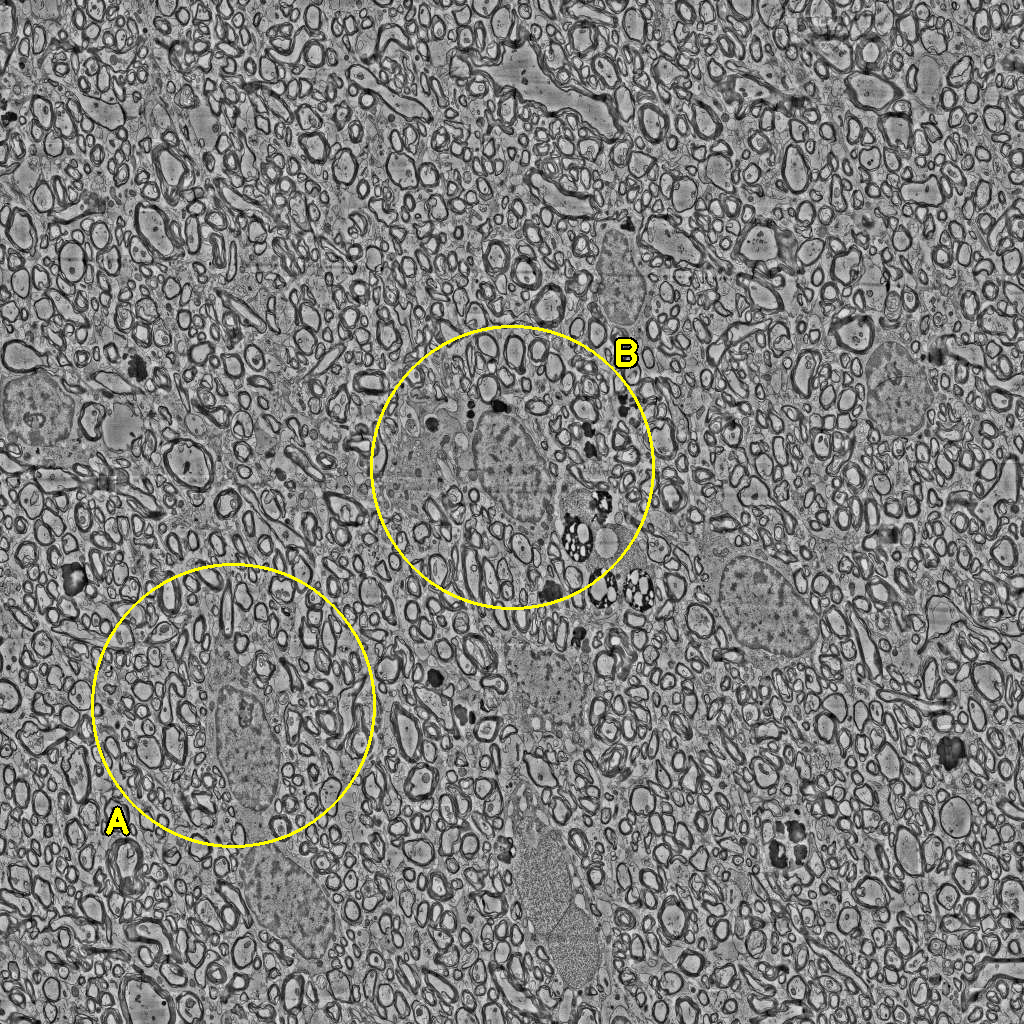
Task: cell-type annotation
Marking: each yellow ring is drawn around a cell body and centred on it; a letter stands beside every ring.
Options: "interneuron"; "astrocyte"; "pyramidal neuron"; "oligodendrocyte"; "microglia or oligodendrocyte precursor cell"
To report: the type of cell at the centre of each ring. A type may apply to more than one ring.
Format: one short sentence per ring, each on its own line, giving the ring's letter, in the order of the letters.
Ring A is centred on an oligodendrocyte.
Ring B is centred on an oligodendrocyte.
